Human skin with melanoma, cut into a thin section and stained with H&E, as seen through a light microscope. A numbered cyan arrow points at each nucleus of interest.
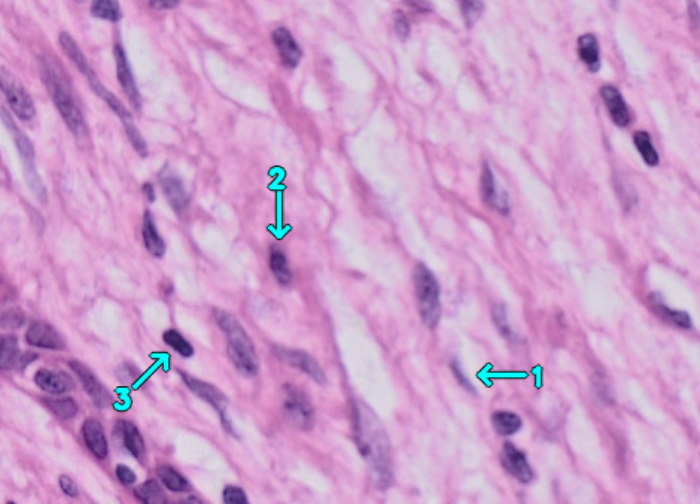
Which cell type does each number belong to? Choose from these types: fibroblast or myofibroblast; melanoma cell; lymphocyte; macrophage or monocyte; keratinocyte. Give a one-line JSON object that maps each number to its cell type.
{"1": "fibroblast or myofibroblast", "2": "macrophage or monocyte", "3": "lymphocyte"}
